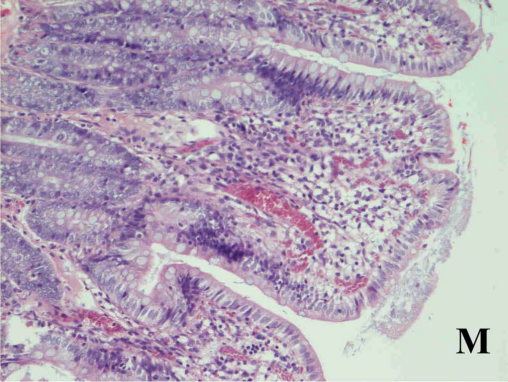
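A broad intestinal villus is covered by a single layer of columnar epithelium with goblet cells, while its core is widened and loose. The core is crowded with small round purple nuclei and contains a band of pooled red blood cells, with further red cells in adjacent villi.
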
